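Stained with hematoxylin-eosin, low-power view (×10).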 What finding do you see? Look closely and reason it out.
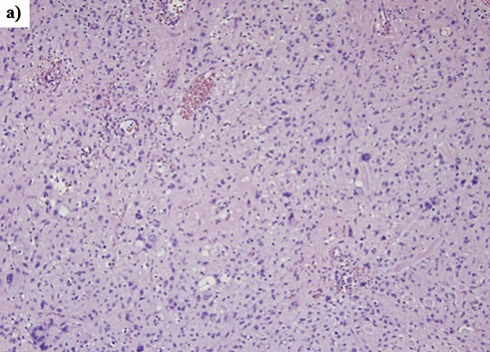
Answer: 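Cells form sheets with no normal tissue architecture. Scattered blood vessels lie among the crowded cells. That points to this answer: high density of hyperplastic tumor cells.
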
